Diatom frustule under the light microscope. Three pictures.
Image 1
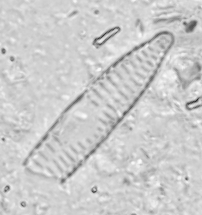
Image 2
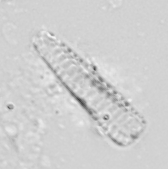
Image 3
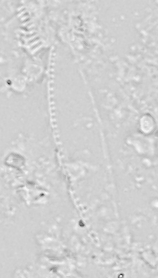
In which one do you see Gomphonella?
In picture 2.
